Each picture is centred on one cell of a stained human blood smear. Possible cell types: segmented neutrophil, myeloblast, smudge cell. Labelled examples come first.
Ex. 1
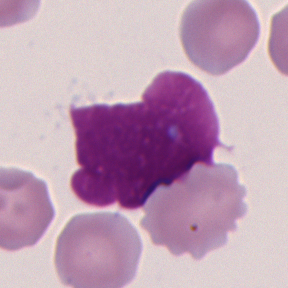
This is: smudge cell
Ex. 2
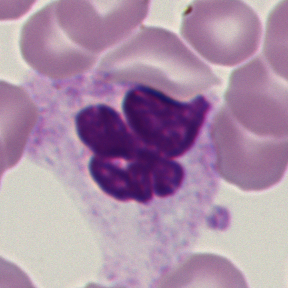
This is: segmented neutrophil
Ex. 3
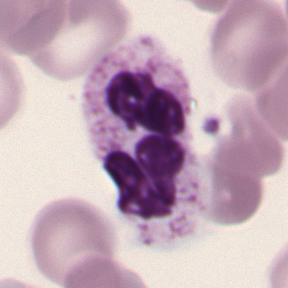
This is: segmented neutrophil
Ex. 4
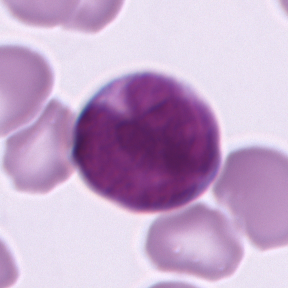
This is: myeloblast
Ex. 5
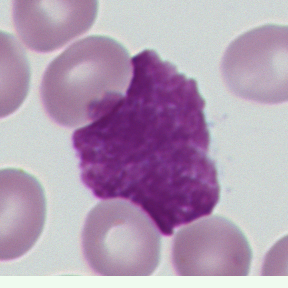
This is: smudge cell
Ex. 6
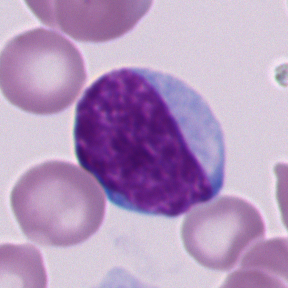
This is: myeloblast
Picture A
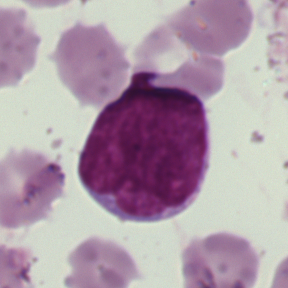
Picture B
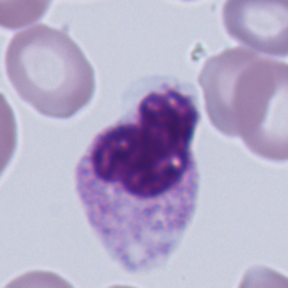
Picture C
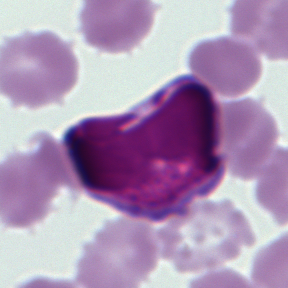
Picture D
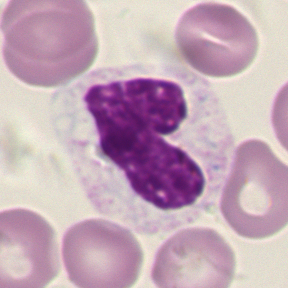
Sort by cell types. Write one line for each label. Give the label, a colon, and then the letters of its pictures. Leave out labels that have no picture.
segmented neutrophil: B, D
myeloblast: A, C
